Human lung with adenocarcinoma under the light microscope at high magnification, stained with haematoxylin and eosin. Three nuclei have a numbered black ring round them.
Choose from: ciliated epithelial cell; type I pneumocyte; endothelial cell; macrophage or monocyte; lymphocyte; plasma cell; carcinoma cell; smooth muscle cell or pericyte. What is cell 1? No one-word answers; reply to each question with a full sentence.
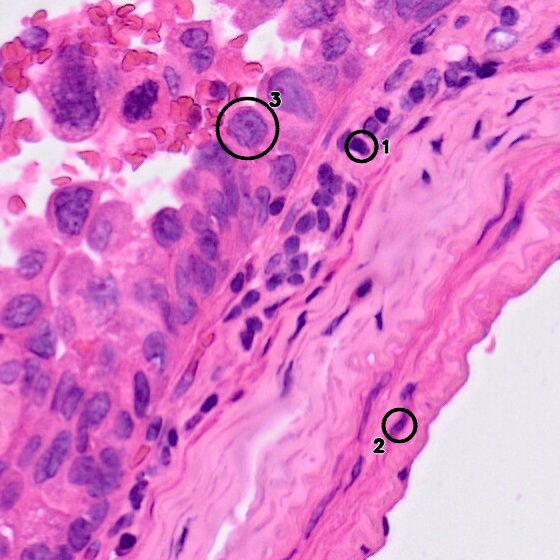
The identity of cell 1 is that of a lymphocyte.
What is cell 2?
The cell referred to as 2 is a smooth muscle cell or pericyte.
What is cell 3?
The cell given label 3 is a carcinoma cell.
